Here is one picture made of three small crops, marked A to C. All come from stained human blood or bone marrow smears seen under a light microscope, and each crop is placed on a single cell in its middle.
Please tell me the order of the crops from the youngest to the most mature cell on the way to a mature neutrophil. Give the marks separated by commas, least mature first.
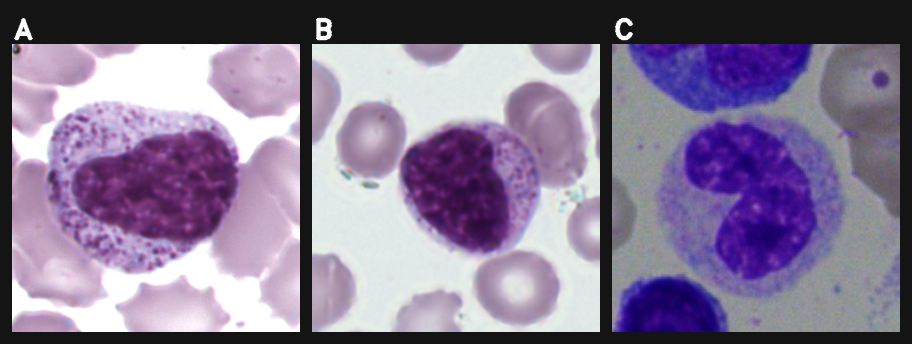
A, B, C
